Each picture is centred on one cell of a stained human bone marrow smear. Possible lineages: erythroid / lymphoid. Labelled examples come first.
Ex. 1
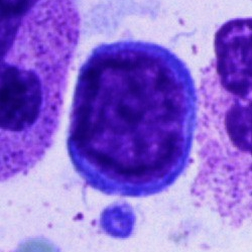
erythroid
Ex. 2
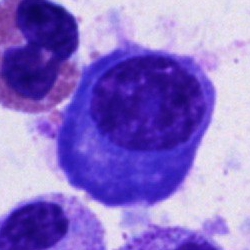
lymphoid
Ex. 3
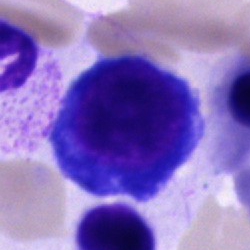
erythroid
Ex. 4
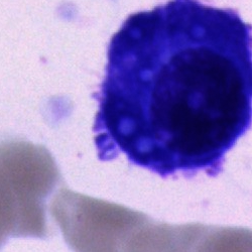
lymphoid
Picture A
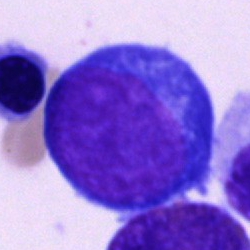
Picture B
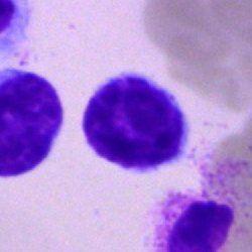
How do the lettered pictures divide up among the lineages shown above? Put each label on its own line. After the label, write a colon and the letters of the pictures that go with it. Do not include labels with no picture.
erythroid: A
lymphoid: B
